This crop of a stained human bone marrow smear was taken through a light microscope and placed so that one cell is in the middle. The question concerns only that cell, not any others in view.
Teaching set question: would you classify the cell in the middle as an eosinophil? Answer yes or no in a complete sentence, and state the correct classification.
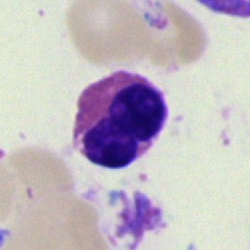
Yes, the middle cell is classified as an eosinophil.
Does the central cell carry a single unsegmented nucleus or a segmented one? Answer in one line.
Segmentation of the nucleus into two or more lobes is the finding.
